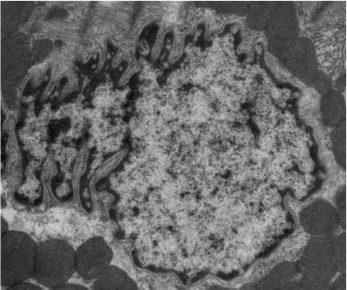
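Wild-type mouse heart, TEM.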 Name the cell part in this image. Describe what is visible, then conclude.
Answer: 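Nucleus. A large round body with finely granular content fills the centre. It is bounded by a dark, deeply folded envelope.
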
